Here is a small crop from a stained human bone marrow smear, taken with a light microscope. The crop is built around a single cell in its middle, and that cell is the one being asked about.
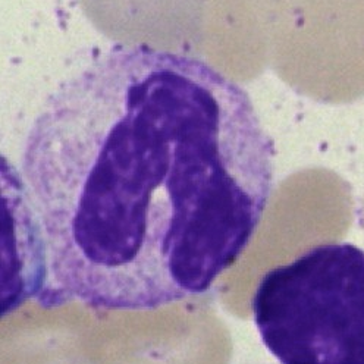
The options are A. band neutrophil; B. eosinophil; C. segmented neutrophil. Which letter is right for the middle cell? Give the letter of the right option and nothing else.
A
